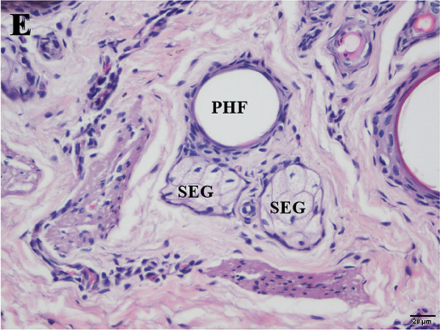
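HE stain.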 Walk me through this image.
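The follicle appears as a large round empty lumen lined by a few layers of epithelial cells with dark, flattened nuclei. Next to it lie two rounded lobules made of large cells with pale, foamy, vacuolated cytoplasm and small central nuclei, each lobule bounded by a thin rim of flattened cells. Around them lies pink, fibrous connective tissue with scattered elongated dark nuclei, and small round follicle cross sections appear near the upper edge.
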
